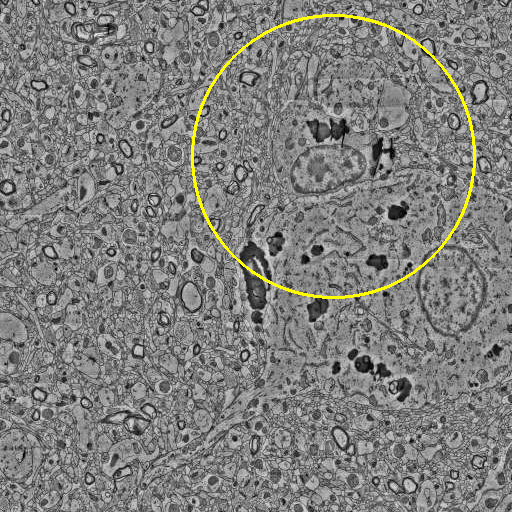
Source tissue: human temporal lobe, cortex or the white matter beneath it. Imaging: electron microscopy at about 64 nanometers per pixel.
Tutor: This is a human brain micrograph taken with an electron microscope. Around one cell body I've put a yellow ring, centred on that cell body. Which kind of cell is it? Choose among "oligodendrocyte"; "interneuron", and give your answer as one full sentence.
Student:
Going by your list, the cell centred in the yellow ring is an oligodendrocyte.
